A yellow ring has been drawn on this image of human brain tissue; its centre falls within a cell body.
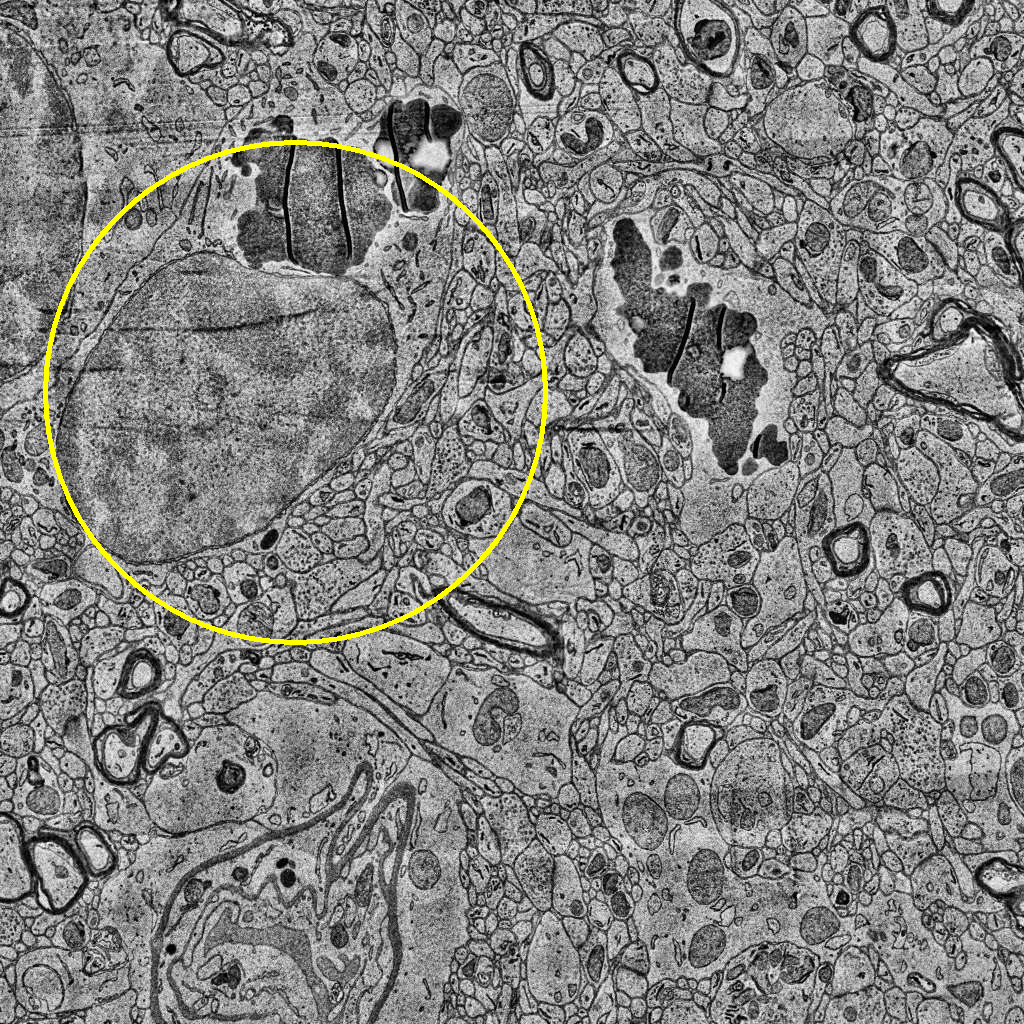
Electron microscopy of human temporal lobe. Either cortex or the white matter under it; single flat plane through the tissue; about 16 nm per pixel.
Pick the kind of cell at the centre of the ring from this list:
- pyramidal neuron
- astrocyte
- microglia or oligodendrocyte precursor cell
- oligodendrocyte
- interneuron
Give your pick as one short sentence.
The centre of the ring holds a microglial cell or oligodendrocyte precursor cell.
